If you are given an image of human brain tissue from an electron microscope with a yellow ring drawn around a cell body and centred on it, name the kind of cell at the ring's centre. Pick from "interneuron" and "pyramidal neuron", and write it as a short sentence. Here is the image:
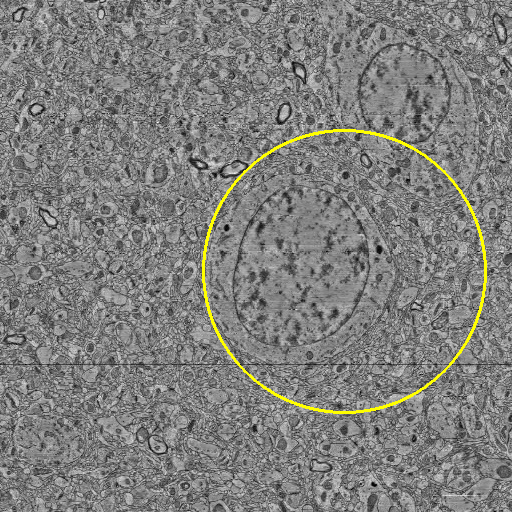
The cell at the ring's centre is a pyramidal neuron.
